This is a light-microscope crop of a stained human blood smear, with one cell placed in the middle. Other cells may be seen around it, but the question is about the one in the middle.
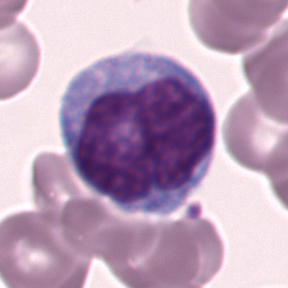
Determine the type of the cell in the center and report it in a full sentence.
For this crop, the central cell is a monocyte.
